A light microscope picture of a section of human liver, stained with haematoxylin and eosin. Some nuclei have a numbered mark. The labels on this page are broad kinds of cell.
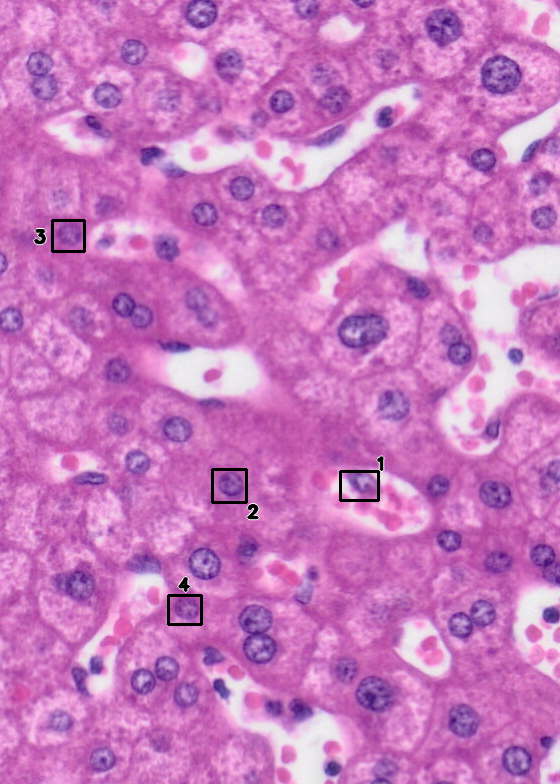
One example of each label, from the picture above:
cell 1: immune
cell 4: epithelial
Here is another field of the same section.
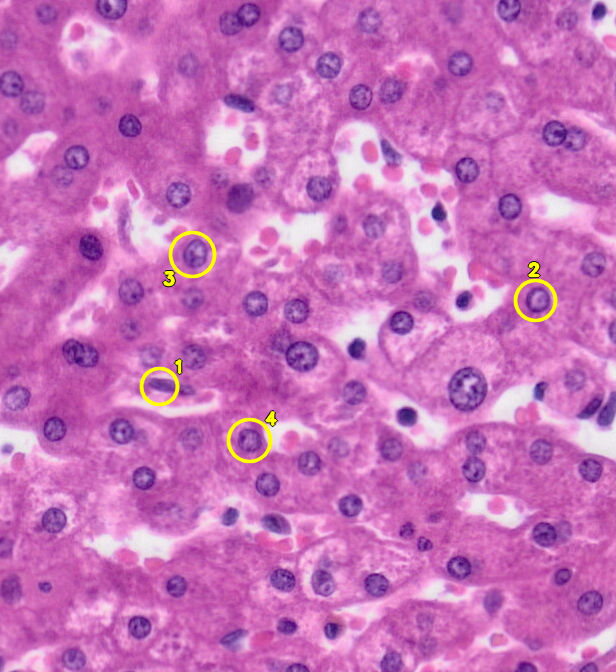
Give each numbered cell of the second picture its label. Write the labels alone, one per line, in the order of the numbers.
immune
epithelial
epithelial
epithelial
